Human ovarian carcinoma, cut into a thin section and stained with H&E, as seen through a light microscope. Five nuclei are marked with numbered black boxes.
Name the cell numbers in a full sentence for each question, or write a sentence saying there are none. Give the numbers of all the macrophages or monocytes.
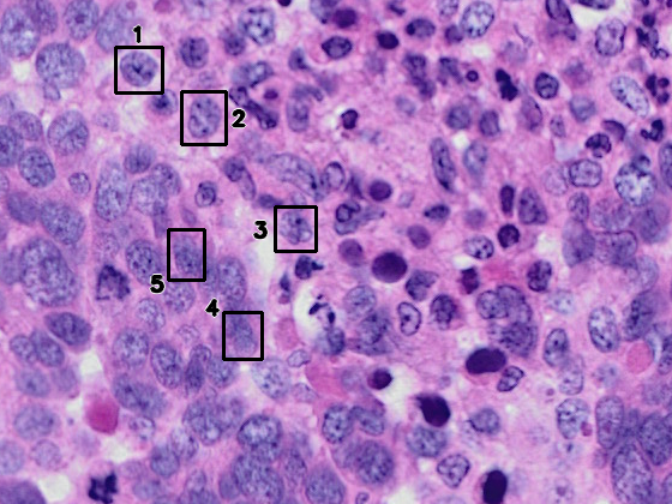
Into the category of macrophages or monocytes fall the cells numbered 1, 2 and 3.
